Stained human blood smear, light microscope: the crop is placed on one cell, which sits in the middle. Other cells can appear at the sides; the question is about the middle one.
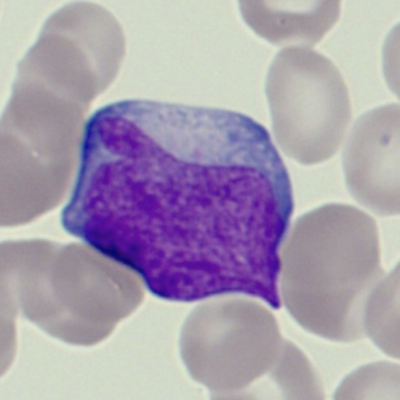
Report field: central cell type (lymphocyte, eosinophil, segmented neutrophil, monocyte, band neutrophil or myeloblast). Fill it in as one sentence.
By classification, the middle cell of this crop is a myeloblast.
